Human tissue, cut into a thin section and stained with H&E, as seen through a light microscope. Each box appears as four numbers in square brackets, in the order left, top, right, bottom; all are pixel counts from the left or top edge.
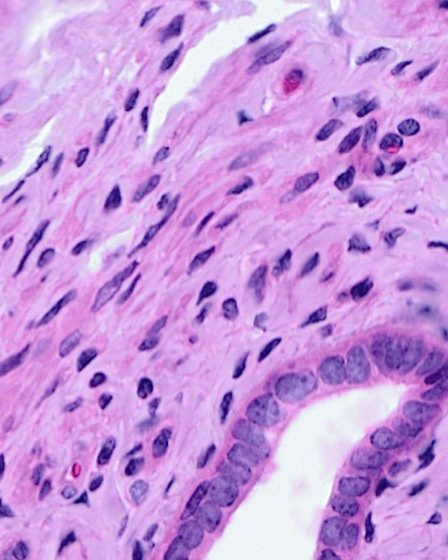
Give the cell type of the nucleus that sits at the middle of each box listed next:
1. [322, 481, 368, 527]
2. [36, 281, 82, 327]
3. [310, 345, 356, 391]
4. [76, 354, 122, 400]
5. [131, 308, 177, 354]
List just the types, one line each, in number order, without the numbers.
carcinoma cell
smooth muscle cell
carcinoma cell
smooth muscle cell
smooth muscle cell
